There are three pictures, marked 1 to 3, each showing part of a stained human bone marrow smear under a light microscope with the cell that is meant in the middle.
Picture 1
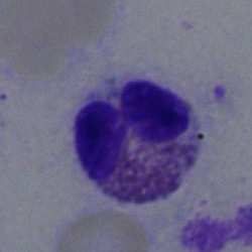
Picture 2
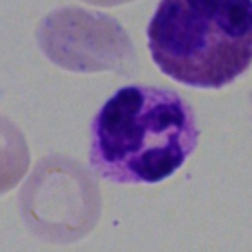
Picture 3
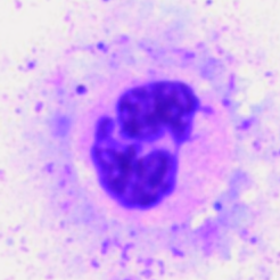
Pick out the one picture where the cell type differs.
1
